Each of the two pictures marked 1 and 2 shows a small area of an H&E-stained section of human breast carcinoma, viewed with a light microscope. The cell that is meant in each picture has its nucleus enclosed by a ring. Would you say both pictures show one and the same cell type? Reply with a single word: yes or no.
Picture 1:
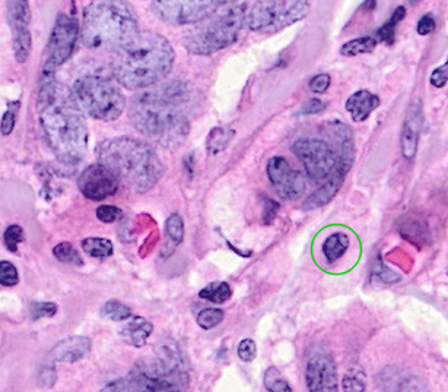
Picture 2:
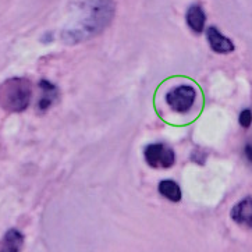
no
